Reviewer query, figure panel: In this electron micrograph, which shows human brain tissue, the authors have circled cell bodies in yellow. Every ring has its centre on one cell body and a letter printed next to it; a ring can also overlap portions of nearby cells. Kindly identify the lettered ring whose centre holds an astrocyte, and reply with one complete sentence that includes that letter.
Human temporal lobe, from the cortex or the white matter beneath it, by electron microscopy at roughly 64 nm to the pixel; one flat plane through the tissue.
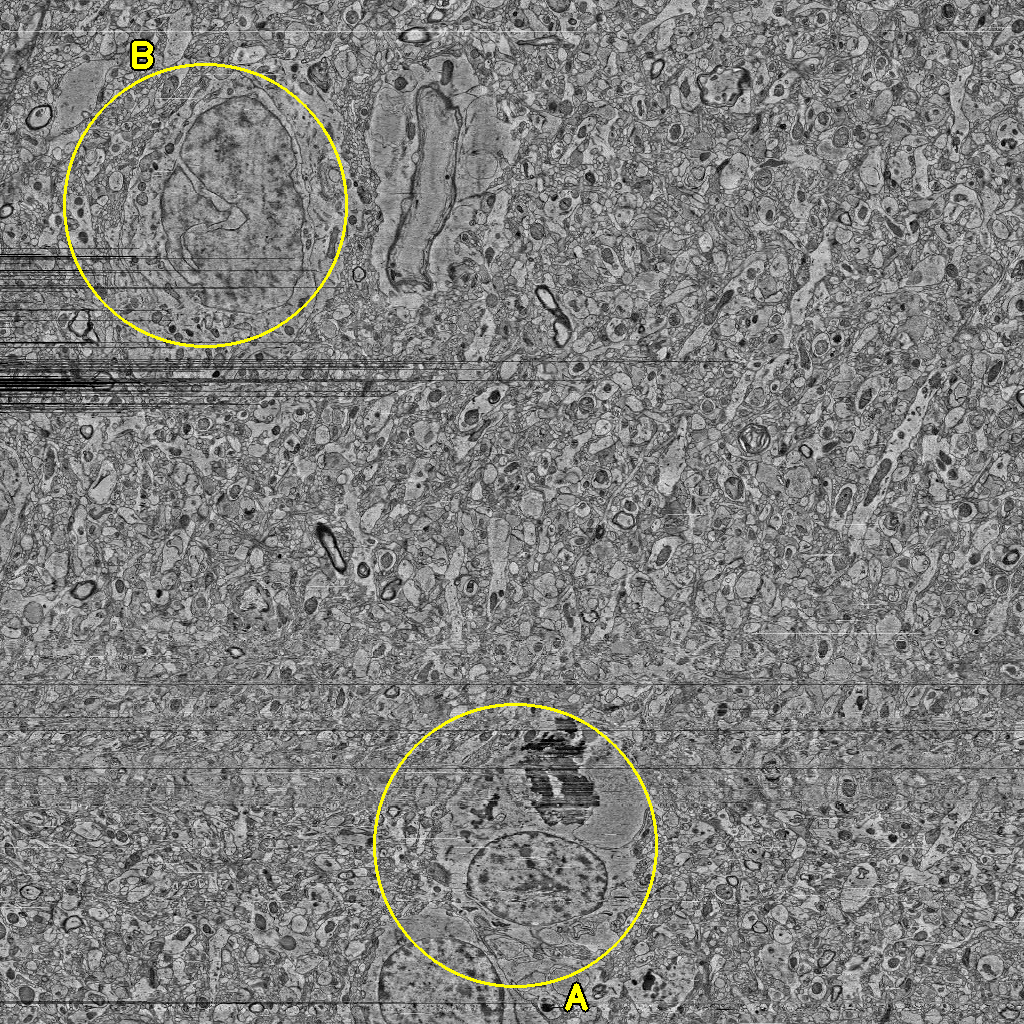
In this figure panel, the ring labelled A has the cell asked for at its centre.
